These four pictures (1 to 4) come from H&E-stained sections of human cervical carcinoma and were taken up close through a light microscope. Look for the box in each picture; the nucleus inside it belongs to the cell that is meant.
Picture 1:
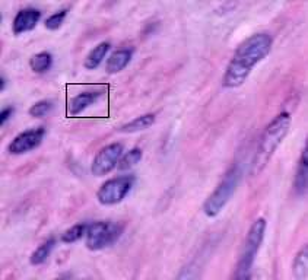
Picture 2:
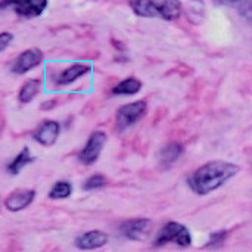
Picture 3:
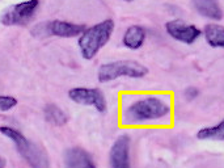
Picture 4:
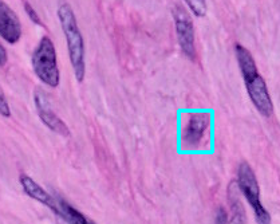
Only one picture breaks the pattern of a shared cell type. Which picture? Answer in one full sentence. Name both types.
The others show smooth muscle cells, but picture 3 shows a fibroblast.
